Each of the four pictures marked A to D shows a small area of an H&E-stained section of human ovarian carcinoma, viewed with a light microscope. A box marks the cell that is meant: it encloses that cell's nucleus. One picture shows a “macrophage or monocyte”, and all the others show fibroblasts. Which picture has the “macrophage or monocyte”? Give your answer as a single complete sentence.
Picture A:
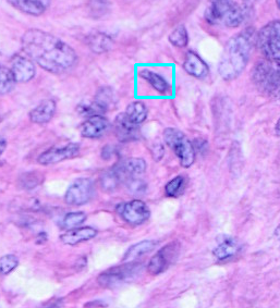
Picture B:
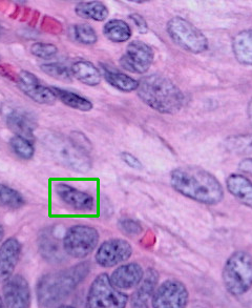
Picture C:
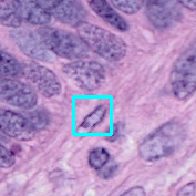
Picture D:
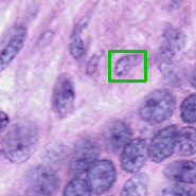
Picture B shows the “macrophage or monocyte”.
